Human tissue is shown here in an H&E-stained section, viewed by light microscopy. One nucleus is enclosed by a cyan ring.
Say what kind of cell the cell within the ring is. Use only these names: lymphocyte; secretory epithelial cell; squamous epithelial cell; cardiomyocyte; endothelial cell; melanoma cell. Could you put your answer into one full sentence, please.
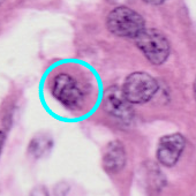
The classification of the cell within the ring is as a melanoma cell.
